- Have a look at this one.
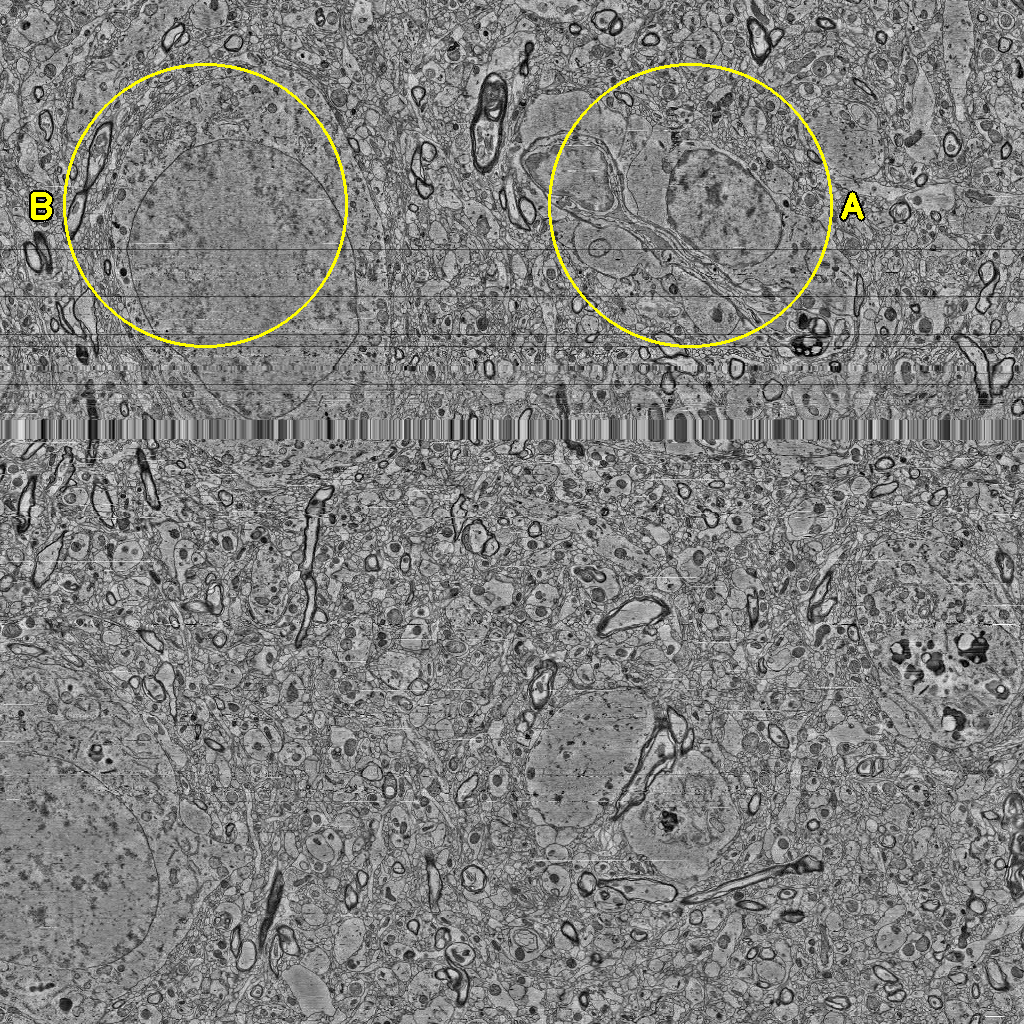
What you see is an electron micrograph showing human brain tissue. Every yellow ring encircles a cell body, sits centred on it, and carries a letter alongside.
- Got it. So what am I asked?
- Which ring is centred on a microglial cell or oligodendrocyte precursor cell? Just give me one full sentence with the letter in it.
The cell asked for sits in the centre of the ring lettered A.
